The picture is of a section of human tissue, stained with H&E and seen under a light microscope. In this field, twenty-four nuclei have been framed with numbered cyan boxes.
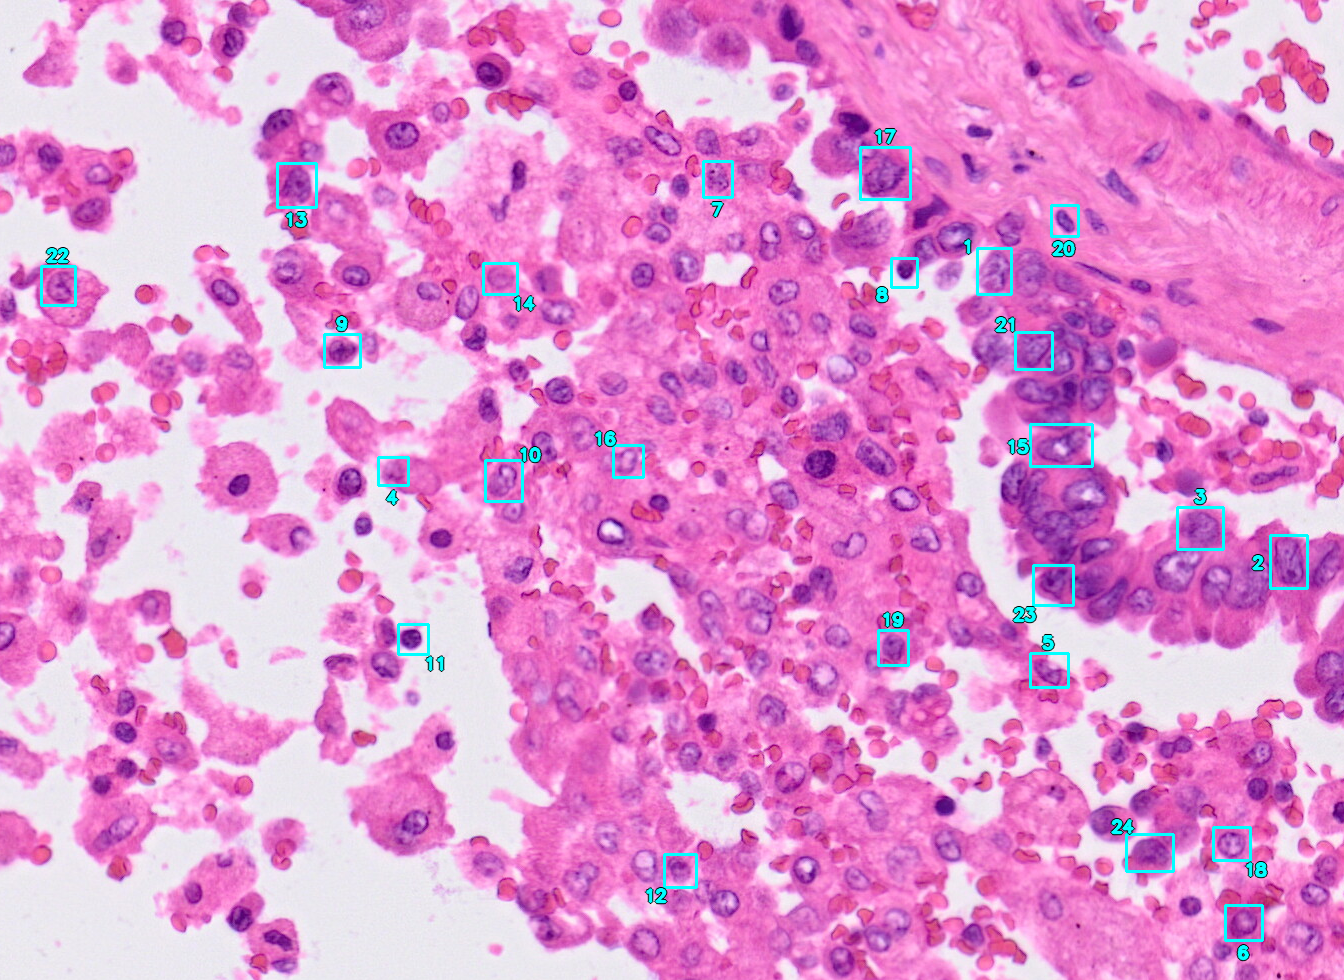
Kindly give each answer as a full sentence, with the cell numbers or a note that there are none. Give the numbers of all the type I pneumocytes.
It is true of every numbered cell that it is not one of the type I pneumocytes.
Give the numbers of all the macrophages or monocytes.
The cells with the number labels 4, 5, 6, 7, 9, 10, 12, 14, 16, 18, 19 and 22 are macrophages or monocytes.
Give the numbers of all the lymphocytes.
By cell type, the cells numbered 8, 11 and 20 are lymphocytes.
